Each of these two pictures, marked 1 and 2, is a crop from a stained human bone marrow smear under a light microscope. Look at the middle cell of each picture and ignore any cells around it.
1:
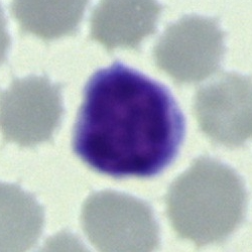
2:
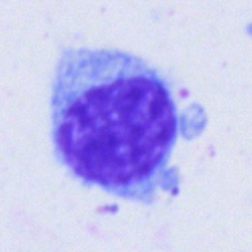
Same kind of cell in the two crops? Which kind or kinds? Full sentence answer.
Yes, for both crops, the central cells are lymphocytes.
